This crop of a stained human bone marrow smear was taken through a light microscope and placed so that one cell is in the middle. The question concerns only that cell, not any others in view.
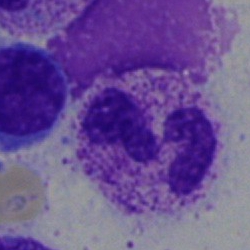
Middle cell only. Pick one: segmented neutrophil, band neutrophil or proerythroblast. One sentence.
Present in the middle of the crop is a segmented neutrophil.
